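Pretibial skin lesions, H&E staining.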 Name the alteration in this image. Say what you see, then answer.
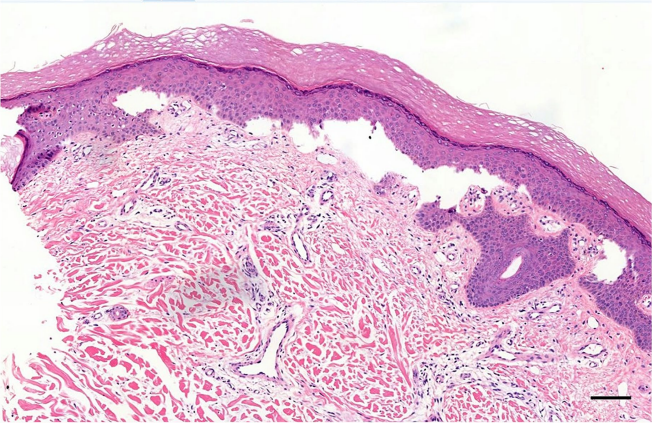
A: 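Clear white gaps separate the base of the epidermis from the underlying dermis over much of its length. The epidermis remains as a continuous sheet lifted above the clefts. So: dermo-epidermal cleavage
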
